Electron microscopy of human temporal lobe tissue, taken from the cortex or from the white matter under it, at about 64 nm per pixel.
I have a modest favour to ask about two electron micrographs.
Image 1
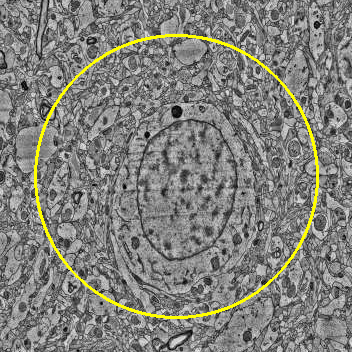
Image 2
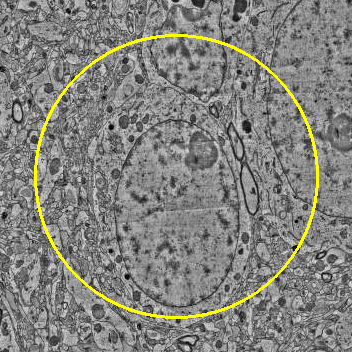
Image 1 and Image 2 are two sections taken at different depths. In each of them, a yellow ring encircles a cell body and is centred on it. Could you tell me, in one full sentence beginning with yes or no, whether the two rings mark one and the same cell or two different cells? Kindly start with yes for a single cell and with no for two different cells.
No, the rings identify two cells, not one shared cell.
